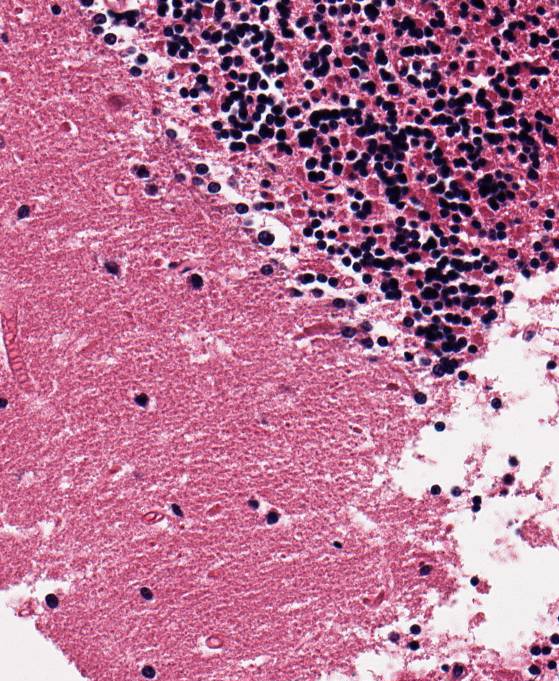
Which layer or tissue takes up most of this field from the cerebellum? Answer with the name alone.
molecular layer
